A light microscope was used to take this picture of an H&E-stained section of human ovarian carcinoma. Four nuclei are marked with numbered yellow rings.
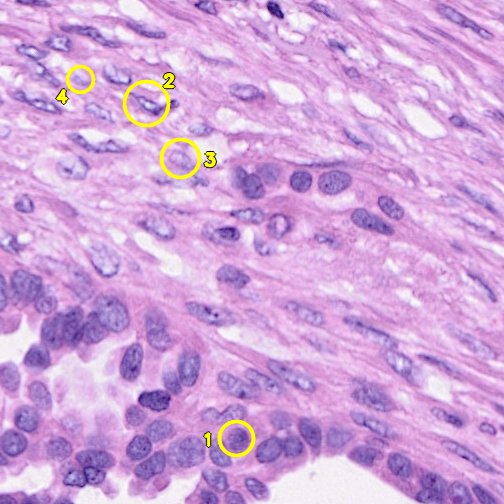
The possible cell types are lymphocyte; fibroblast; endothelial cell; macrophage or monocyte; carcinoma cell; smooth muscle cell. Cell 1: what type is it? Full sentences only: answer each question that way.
The cell carrying label 1 is identified as a carcinoma cell.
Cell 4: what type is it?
The cell indicated with the number 4 is classed as a fibroblast.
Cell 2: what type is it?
Cell 2, as marked in the section, is a fibroblast.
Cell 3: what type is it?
To a fibroblast belongs the nucleus marked 3.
